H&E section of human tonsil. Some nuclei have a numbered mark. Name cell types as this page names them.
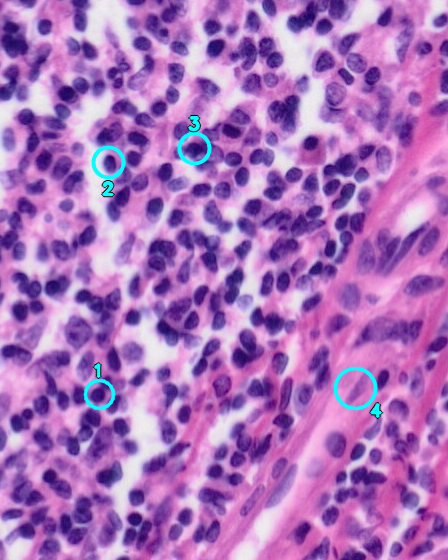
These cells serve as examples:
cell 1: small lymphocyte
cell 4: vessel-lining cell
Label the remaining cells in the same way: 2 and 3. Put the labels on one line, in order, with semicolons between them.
small lymphocyte; small lymphocyte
